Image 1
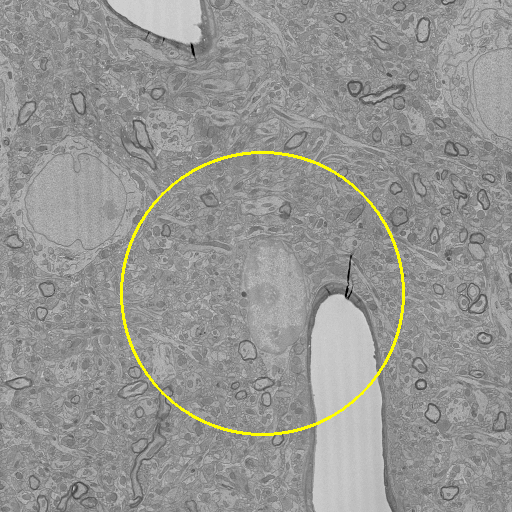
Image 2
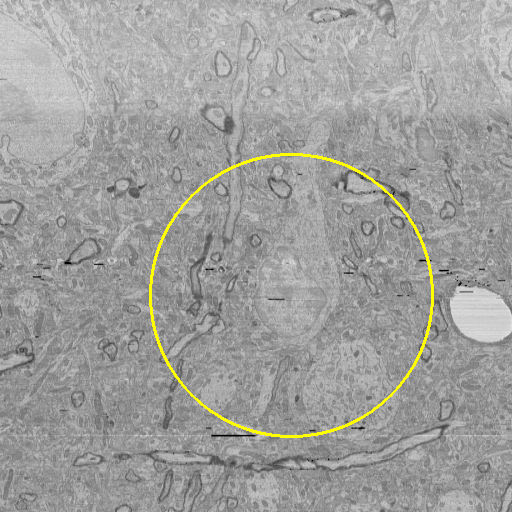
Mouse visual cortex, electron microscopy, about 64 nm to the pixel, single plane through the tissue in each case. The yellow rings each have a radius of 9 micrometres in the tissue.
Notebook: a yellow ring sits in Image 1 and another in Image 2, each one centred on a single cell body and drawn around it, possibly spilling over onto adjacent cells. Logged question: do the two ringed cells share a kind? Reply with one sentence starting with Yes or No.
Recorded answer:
Yes, both centre cells inside the rings of Image 1 and Image 2 share one kind.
